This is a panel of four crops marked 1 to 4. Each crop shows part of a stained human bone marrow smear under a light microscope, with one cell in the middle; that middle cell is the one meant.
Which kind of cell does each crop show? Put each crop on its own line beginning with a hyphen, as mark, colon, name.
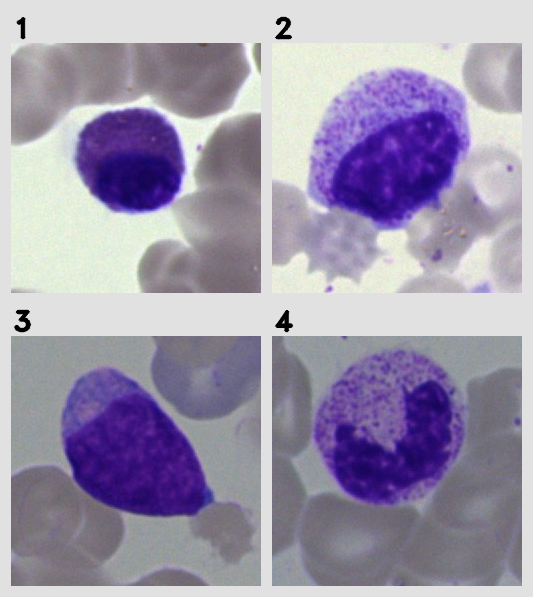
- 1: eosinophil
- 2: myelocyte
- 3: blast
- 4: band neutrophil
